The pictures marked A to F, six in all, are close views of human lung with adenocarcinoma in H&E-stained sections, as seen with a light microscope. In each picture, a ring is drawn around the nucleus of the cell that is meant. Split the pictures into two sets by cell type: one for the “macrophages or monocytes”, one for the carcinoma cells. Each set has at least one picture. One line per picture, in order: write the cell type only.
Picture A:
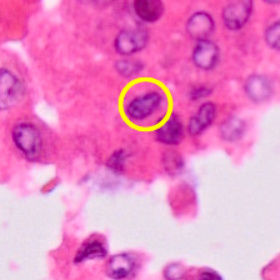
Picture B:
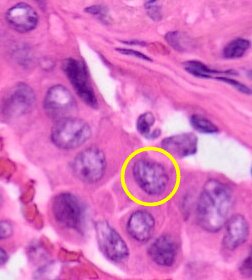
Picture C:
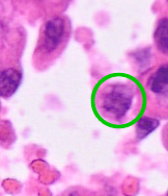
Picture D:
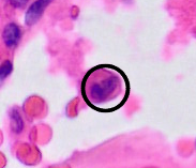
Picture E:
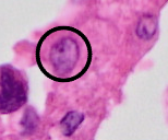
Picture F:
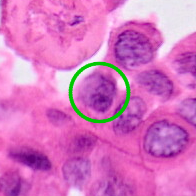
macrophage or monocyte
carcinoma cell
carcinoma cell
macrophage or monocyte
macrophage or monocyte
carcinoma cell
